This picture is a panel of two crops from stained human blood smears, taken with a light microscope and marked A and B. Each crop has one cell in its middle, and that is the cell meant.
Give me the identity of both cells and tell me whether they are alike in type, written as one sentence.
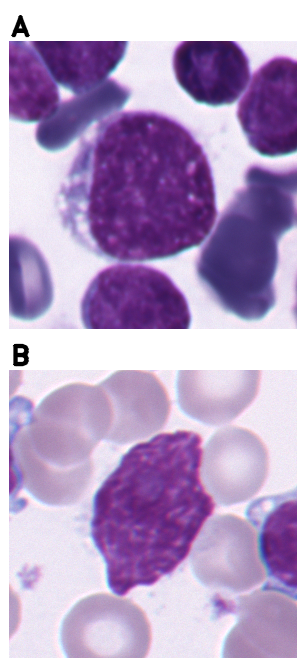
No, crop A is where a myeloblast is, and crop B is where a smudge cell is.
